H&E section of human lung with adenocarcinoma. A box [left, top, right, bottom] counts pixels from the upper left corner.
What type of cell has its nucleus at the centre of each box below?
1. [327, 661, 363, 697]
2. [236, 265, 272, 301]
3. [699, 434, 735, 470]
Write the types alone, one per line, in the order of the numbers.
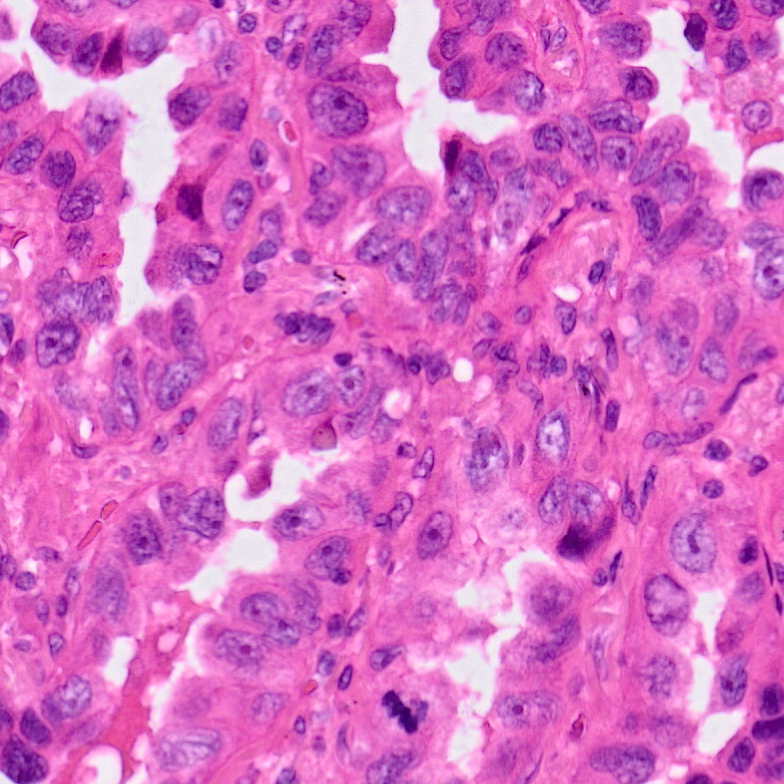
mast cell
lymphocyte
lymphocyte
